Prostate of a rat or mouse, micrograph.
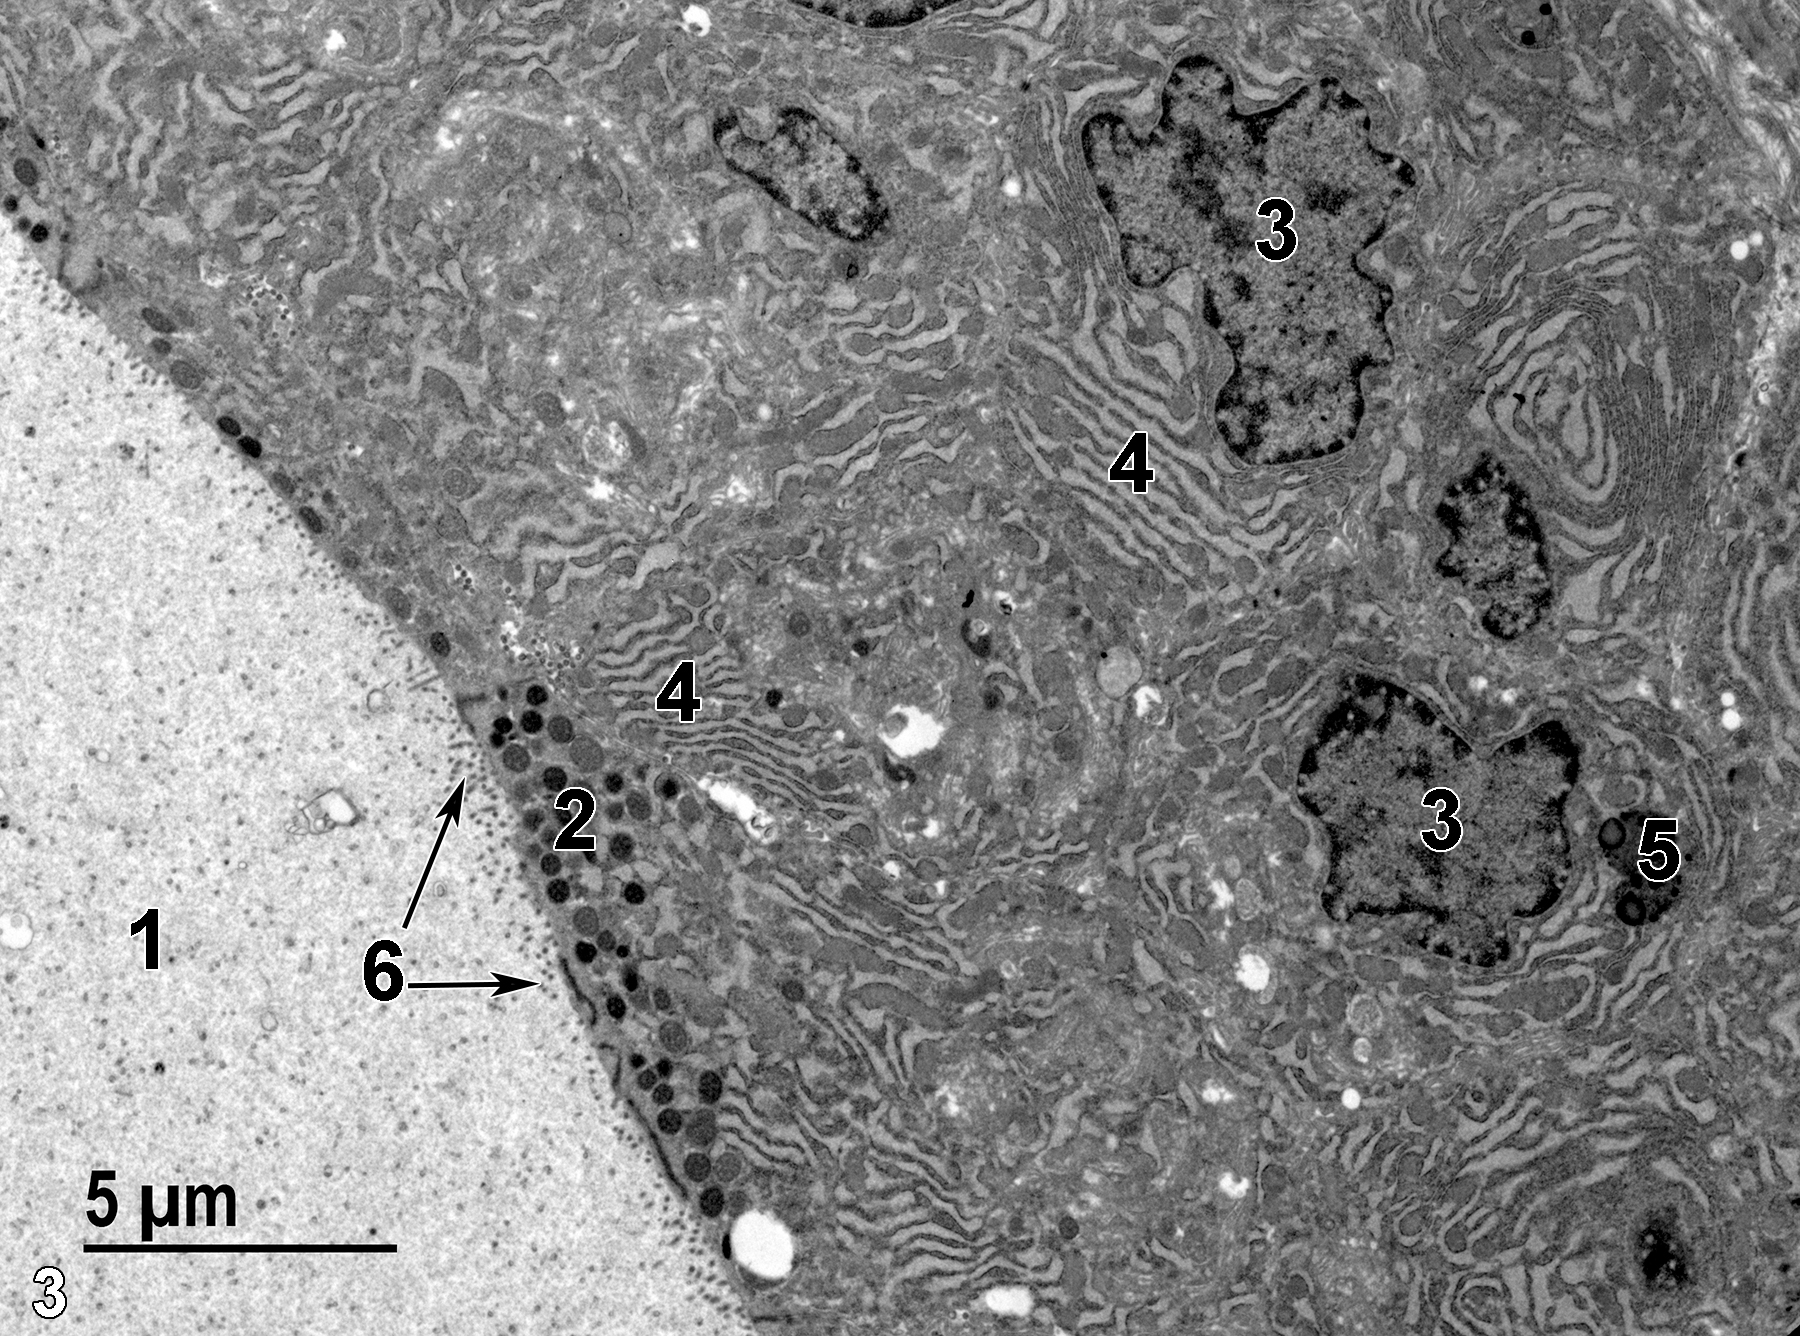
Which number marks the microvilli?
The microvilli: 6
